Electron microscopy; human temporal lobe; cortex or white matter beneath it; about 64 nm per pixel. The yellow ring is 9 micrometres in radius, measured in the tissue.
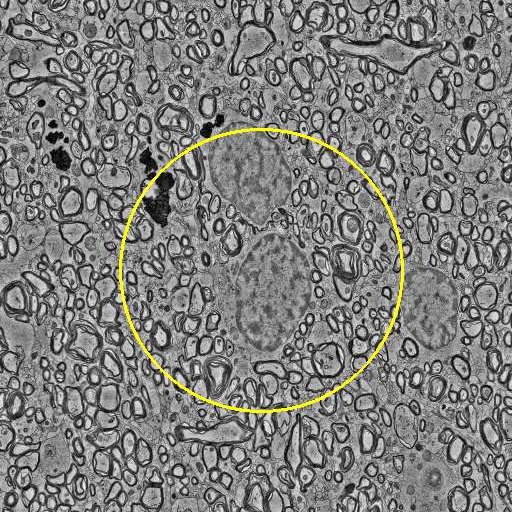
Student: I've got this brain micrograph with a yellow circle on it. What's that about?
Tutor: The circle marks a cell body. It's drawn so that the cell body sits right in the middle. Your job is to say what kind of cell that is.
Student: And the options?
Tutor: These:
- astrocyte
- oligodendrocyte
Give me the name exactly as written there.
oligodendrocyte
